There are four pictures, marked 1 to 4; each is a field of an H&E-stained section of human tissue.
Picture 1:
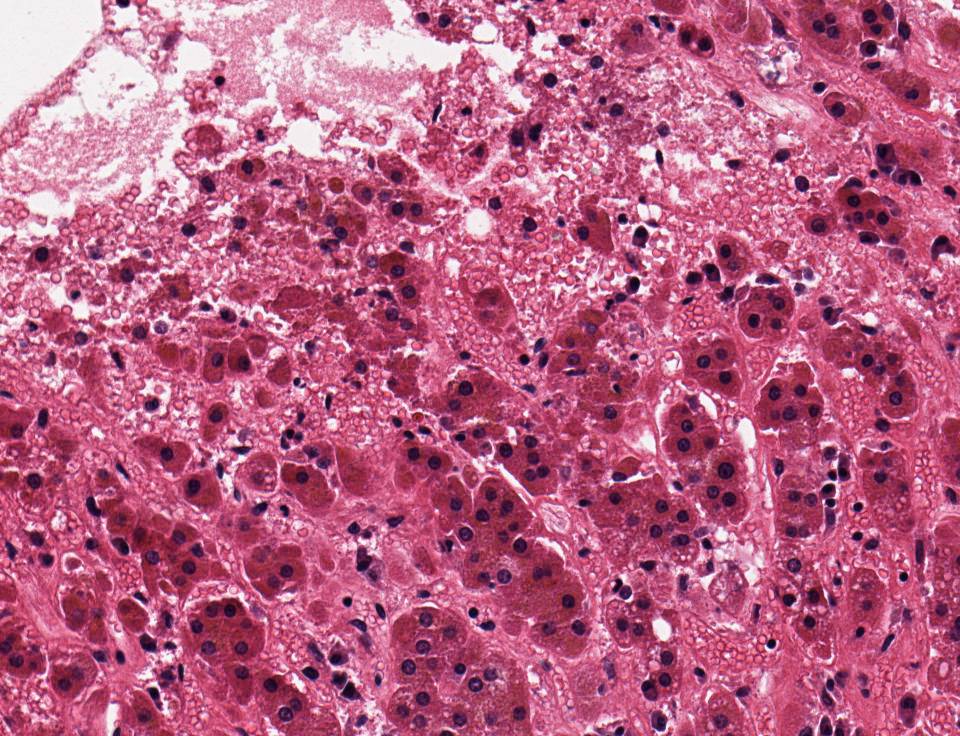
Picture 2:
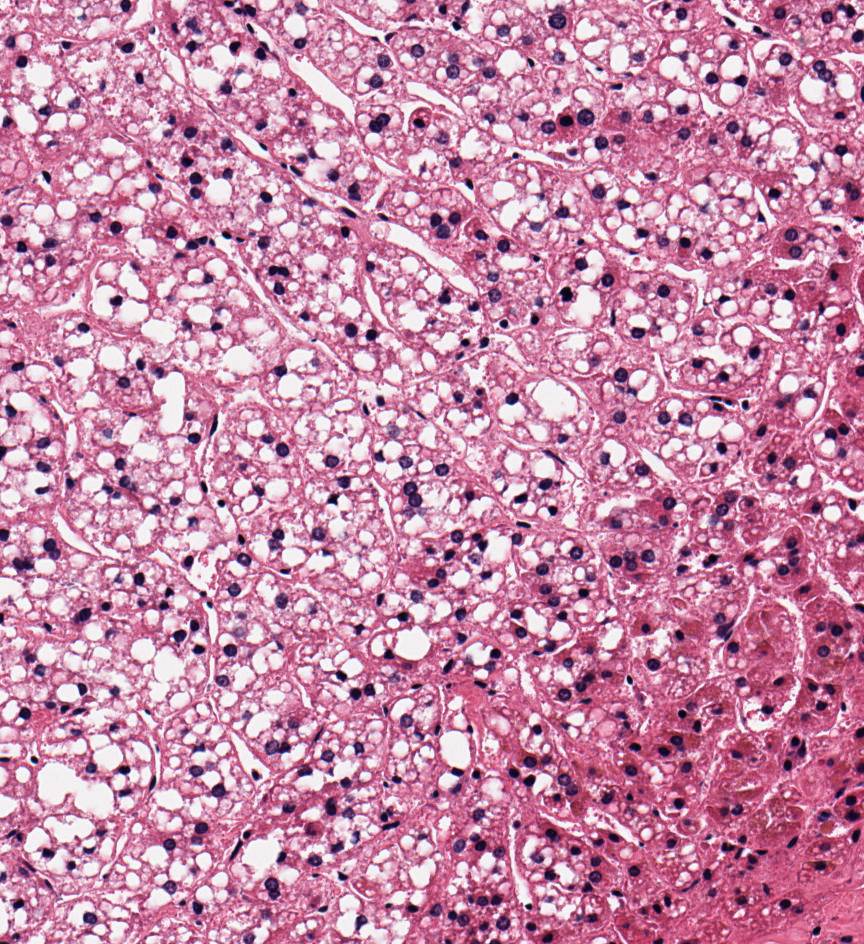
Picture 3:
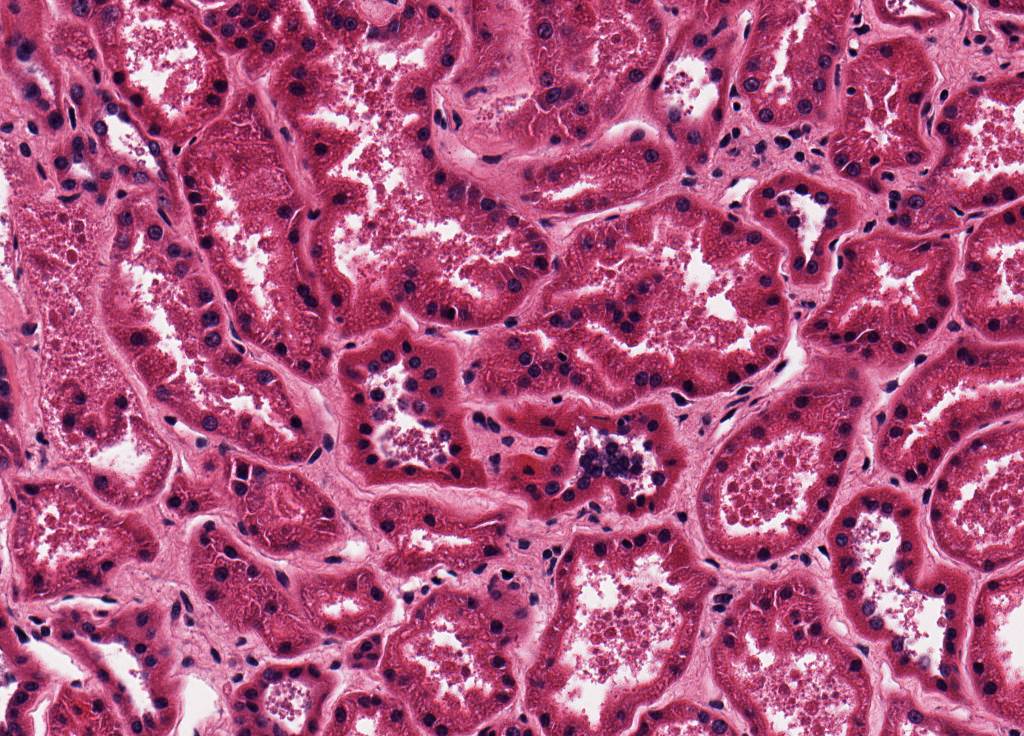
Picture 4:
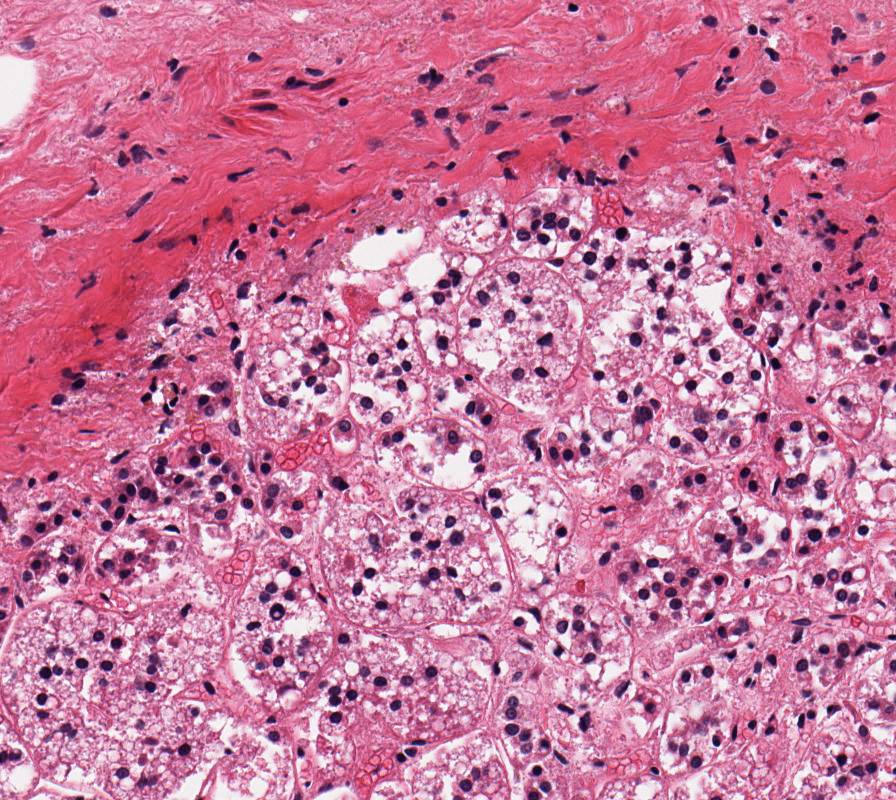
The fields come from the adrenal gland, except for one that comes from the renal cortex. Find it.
3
